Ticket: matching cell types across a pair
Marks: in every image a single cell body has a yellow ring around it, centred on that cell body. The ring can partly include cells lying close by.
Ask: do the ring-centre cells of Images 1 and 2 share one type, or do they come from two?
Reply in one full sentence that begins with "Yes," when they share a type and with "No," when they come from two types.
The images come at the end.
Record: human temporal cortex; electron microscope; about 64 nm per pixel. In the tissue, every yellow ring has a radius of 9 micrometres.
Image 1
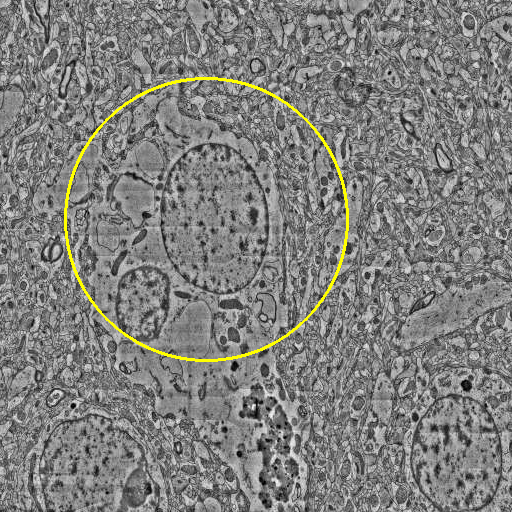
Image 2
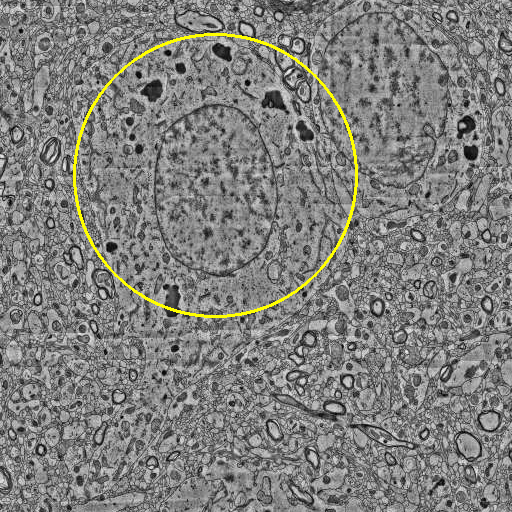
No, the cells in the centres of the rings in Image 1 and Image 2 come from two types.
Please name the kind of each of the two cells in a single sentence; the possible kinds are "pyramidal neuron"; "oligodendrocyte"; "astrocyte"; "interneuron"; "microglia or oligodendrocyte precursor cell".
In the first picture the ring is centred on an astrocyte, and in the second on a pyramidal neuron.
